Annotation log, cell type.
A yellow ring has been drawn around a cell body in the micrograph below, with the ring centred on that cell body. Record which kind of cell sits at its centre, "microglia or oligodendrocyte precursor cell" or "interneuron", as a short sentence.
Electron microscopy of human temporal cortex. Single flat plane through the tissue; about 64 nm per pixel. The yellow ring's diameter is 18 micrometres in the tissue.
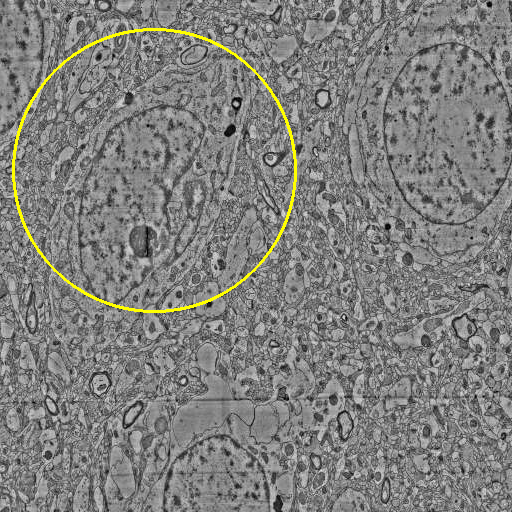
The cell at the centre of this ring is an interneuron.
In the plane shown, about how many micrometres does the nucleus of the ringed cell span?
Approximately 14 micrometres long and 8 micrometres wide, so clearly longer than it is wide in this plane.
